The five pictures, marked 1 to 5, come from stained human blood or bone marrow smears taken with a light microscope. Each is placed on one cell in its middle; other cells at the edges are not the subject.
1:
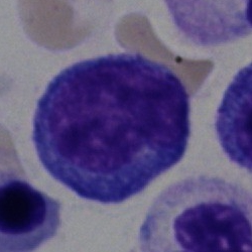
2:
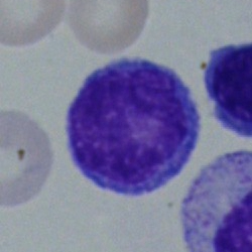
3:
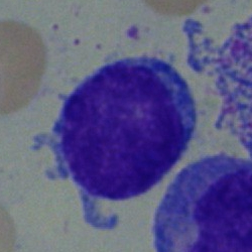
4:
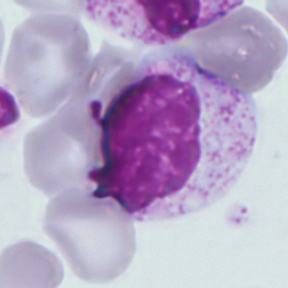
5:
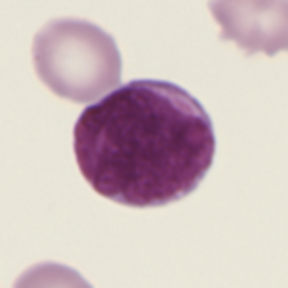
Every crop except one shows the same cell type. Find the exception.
4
